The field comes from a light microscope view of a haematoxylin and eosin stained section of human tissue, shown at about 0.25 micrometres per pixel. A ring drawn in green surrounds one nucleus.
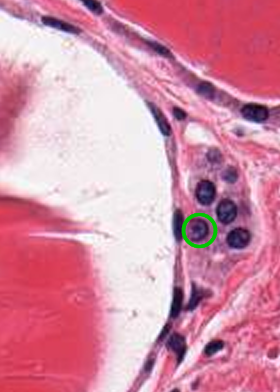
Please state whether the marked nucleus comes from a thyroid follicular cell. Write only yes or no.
yes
